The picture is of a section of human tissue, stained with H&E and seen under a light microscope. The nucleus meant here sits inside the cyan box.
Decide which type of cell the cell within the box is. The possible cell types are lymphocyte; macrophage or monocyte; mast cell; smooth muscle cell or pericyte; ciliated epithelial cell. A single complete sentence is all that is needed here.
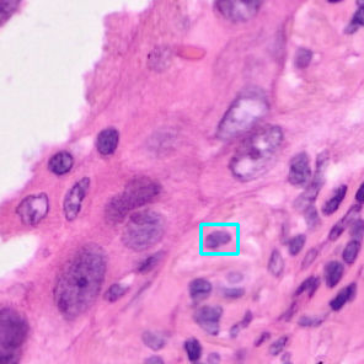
In this section, the cell within the box is a lymphocyte.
